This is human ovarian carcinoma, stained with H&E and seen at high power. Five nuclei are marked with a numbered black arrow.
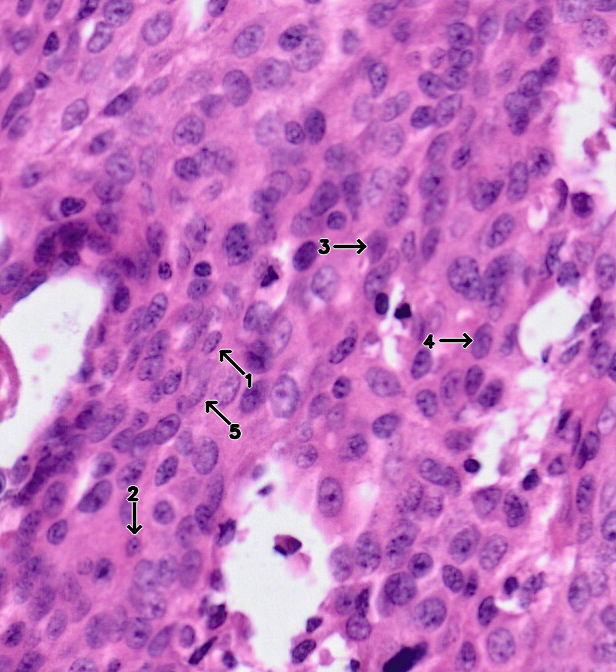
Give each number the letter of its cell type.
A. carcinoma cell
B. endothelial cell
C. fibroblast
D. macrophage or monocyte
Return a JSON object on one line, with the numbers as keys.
{"1": "D", "2": "B", "3": "A", "4": "A", "5": "A"}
